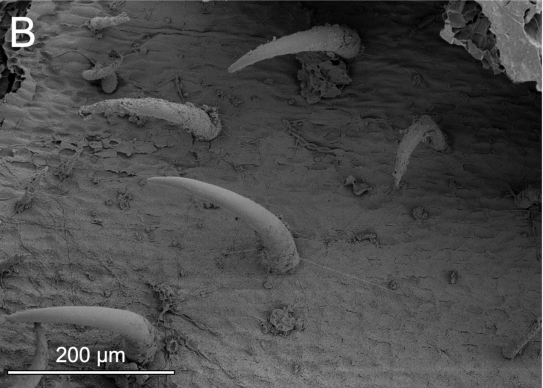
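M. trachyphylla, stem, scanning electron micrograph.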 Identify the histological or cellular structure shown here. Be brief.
Hooked trichomes.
